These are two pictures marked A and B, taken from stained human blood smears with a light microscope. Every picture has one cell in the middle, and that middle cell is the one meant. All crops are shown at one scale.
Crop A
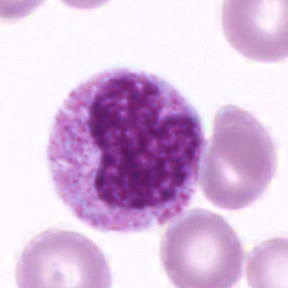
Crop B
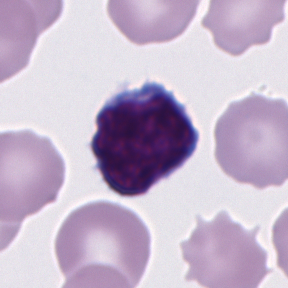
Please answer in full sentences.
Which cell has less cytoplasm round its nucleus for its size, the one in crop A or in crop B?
It is the cell in crop B that is filled more by its nucleus.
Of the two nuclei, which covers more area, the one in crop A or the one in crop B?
It is the nucleus in crop A, about 1.5 times as large in area as the one in crop B.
